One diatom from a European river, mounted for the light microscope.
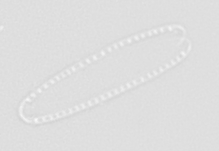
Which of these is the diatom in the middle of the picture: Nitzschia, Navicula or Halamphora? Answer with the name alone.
Nitzschia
